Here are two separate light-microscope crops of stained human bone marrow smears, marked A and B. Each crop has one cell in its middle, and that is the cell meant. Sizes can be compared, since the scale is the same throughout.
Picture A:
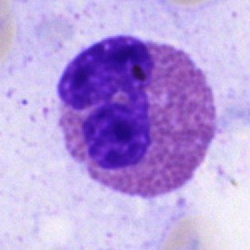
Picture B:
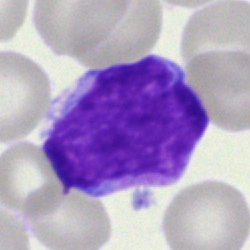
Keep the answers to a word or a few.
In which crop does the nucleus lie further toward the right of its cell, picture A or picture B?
B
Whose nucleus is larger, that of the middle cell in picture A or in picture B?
B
